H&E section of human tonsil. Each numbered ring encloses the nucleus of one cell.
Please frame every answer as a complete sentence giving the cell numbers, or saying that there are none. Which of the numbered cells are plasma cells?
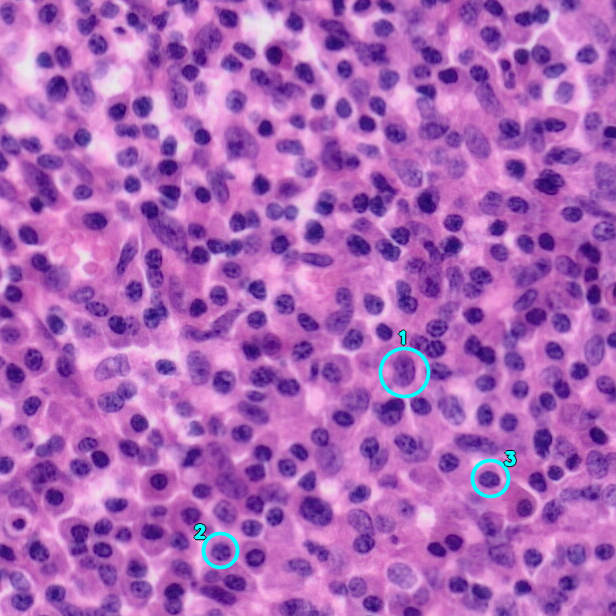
Within this tissue, the cells numbered 2 and 3 are plasma cells.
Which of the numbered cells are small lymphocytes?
The numbered cells are, without exception, not small lymphocytes.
